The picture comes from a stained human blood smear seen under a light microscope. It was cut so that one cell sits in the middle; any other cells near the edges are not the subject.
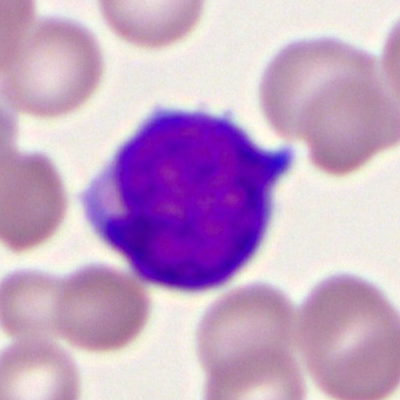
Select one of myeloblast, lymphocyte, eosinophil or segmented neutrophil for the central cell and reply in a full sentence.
The middle cell in this particular crop is a myeloblast.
